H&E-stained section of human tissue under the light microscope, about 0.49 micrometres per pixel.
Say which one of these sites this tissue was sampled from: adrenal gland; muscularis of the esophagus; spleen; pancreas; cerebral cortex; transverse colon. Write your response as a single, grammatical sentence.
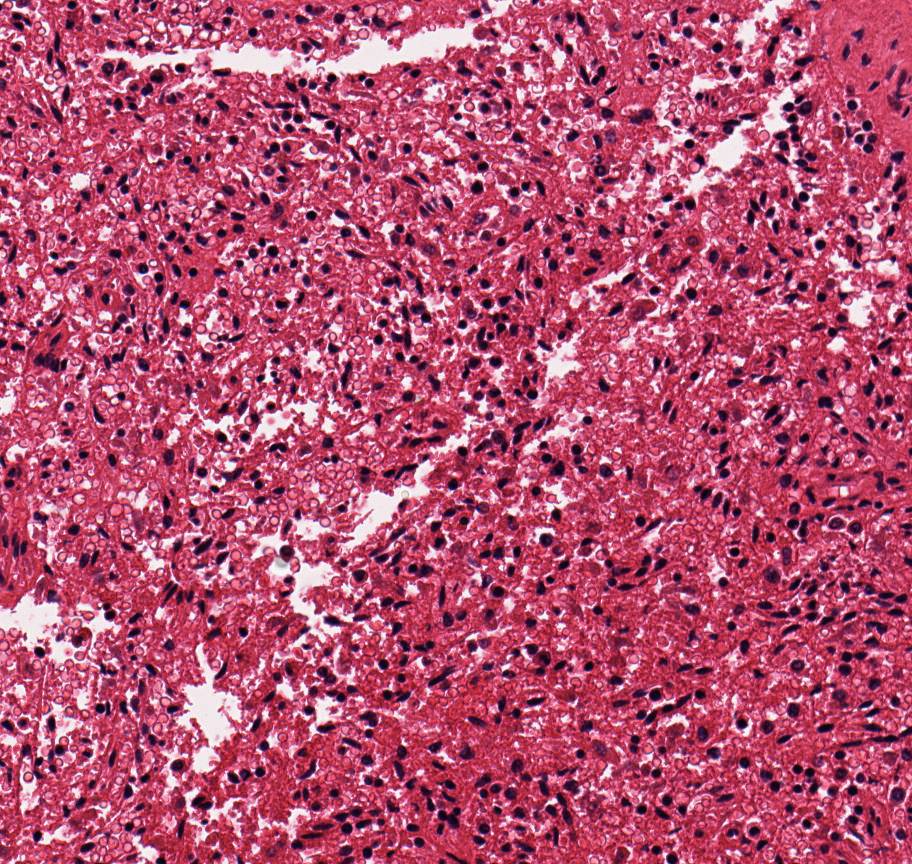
The tissue sectioned for this slide came from the spleen.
